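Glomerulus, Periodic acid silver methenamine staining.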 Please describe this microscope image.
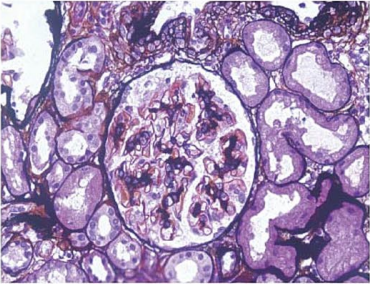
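The capillary tuft is a lobulated knot of loops whose walls are drawn as dark lines, with pinkish cells and matrix between them. A thin black capsule encircles the tuft with a narrow pale space inside it. All around, tubules are cut across, each outlined by its own black basement membrane and lined by pale epithelium.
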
